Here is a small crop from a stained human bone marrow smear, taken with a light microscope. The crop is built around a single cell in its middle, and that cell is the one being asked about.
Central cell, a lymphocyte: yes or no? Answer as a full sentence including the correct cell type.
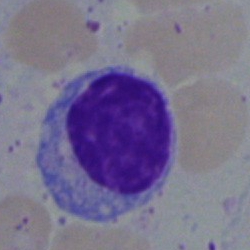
Yes, placed in the middle of the crop is a lymphocyte.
